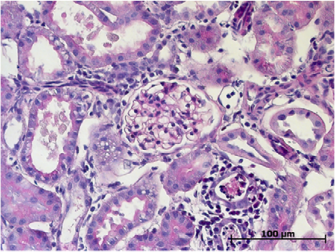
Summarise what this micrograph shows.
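Kidney cortex with a glomerulus in the centre surrounded by tubules cut across. Small dark nuclei lie scattered in the interstitium between the tubules.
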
